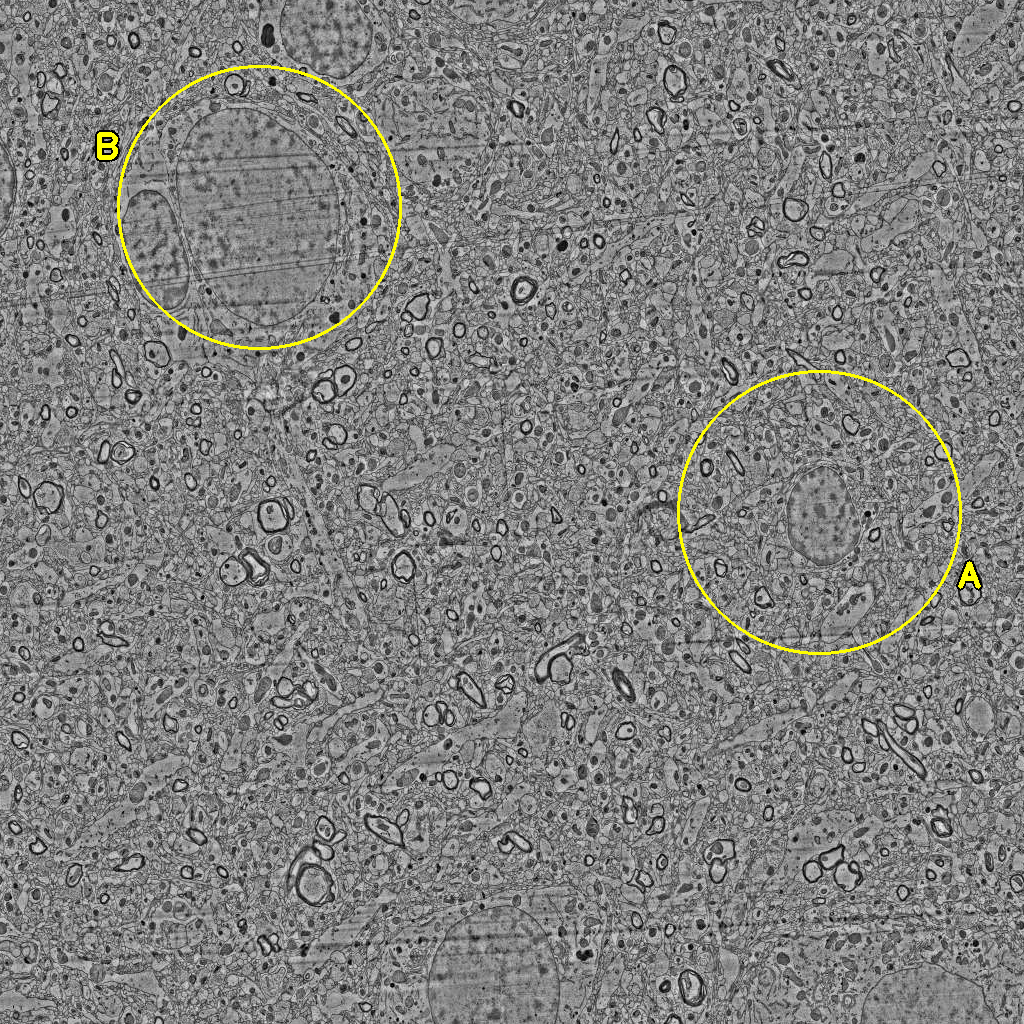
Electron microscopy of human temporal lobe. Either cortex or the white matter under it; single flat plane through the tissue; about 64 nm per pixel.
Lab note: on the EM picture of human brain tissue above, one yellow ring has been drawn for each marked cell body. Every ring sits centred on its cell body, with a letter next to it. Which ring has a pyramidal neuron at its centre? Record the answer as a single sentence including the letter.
Noted: the cell in question is at the centre of ring B.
